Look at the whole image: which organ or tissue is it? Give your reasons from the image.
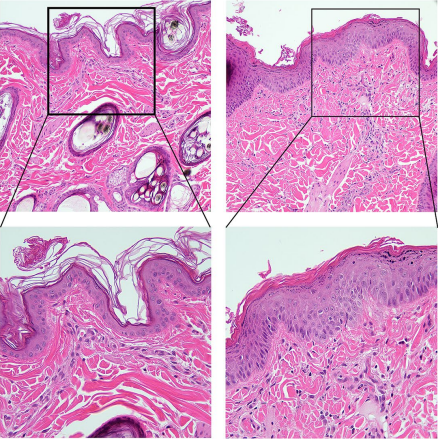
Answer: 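Skin. A layered epithelium with a flaky surface layer lies on top. Beneath it lies dense pink fibrous connective tissue. Hair follicles in cross-section are present in the dermis.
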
